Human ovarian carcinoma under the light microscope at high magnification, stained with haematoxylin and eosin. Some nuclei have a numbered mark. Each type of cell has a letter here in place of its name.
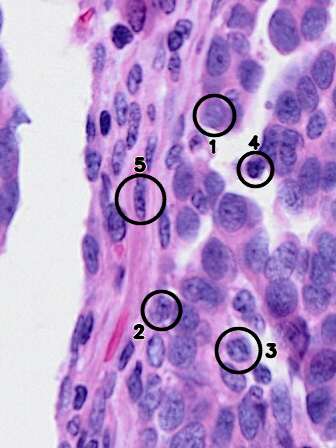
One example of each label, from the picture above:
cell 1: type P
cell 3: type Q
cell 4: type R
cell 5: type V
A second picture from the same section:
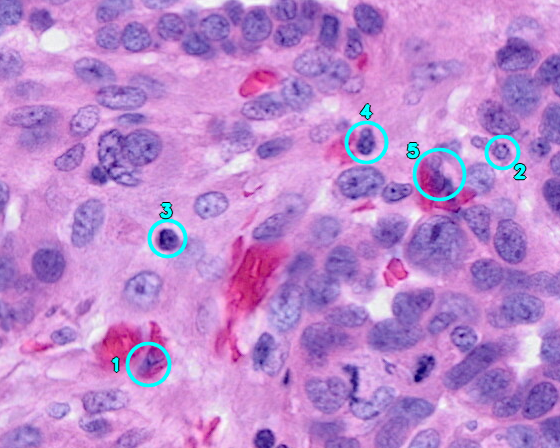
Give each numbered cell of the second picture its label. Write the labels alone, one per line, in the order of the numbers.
type V
type Q
type R
type R
type V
